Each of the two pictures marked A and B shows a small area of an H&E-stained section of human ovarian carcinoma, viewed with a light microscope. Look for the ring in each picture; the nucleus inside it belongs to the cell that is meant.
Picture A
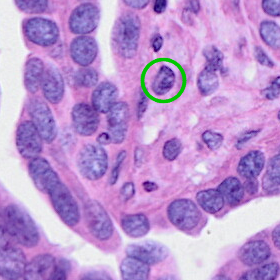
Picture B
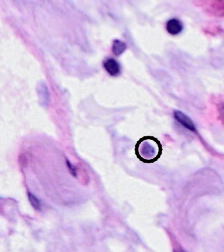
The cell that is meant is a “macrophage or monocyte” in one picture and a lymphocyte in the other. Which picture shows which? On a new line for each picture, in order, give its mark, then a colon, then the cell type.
A: macrophage or monocyte
B: lymphocyte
